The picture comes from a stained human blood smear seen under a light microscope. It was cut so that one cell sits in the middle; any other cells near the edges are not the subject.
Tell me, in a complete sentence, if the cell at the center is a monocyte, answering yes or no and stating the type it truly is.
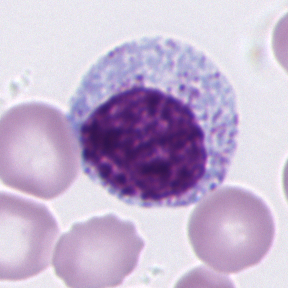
No, the cell at the centre is categorised not as a monocyte but as a myelocyte.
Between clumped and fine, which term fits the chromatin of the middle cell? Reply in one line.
Just so you know, its chromatin is coarsely clumped.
